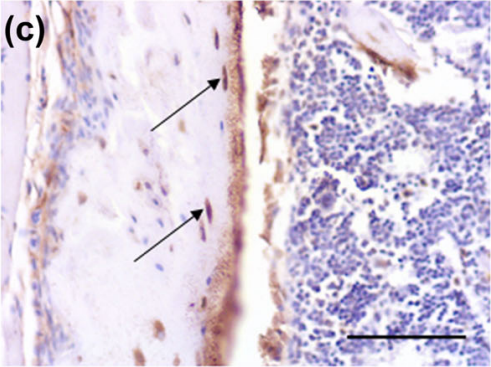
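This section shows cortical bone with osteocytes embedded in a broad band of pale, compact matrix. The osteocytes are small, flattened or elongated cells lying singly in the matrix, several of them stained brown. A thin brown-stained line runs along the surface of the bone where it faces the marrow. Beside the bone lies densely packed marrow with many small round cells with blue nuclei.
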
